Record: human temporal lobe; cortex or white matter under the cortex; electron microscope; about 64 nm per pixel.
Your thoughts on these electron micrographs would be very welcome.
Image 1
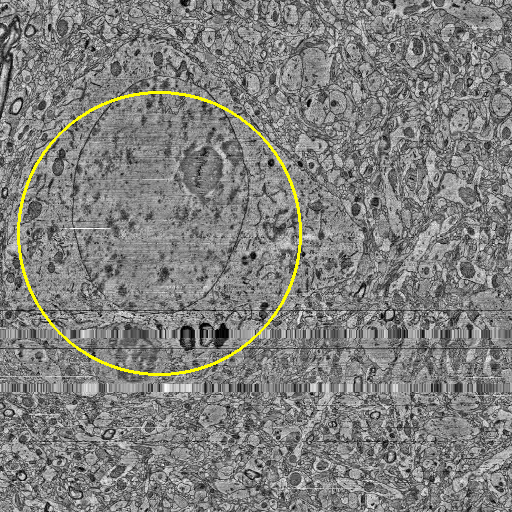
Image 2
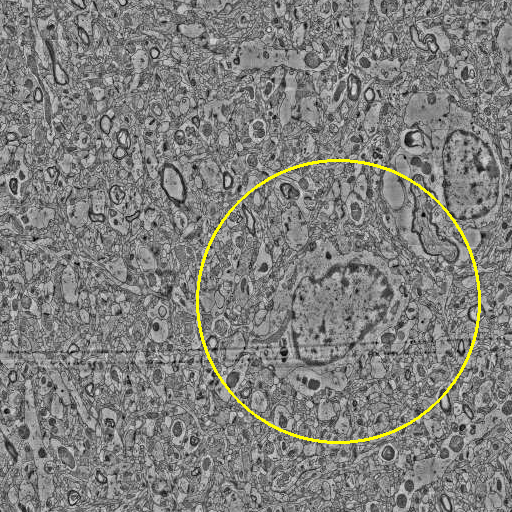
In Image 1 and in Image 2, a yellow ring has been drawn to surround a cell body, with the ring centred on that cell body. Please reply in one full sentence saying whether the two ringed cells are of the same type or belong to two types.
The ringed cells in Image 1 and Image 2 belong to two types.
